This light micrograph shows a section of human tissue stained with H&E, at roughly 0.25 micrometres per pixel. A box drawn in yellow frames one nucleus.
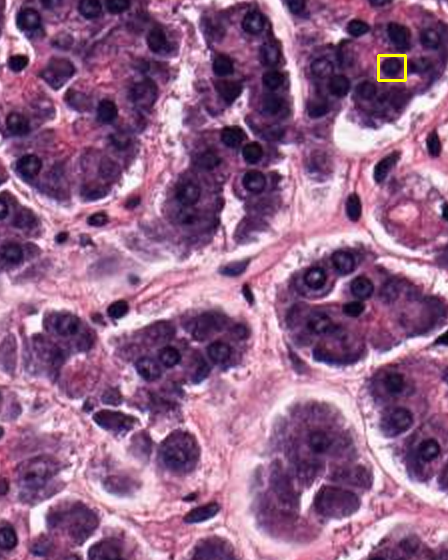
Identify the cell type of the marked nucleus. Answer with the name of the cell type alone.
pancreatic acinar cell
